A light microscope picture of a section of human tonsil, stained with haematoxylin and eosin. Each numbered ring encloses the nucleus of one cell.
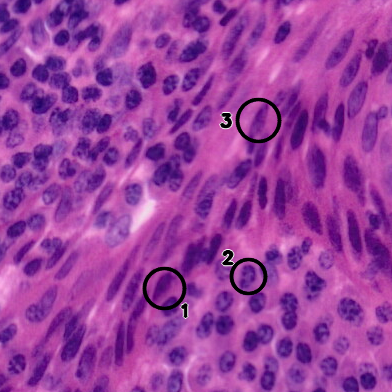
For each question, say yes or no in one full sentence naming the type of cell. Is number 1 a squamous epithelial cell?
Yes, number 1 corresponds to a squamous epithelial cell.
